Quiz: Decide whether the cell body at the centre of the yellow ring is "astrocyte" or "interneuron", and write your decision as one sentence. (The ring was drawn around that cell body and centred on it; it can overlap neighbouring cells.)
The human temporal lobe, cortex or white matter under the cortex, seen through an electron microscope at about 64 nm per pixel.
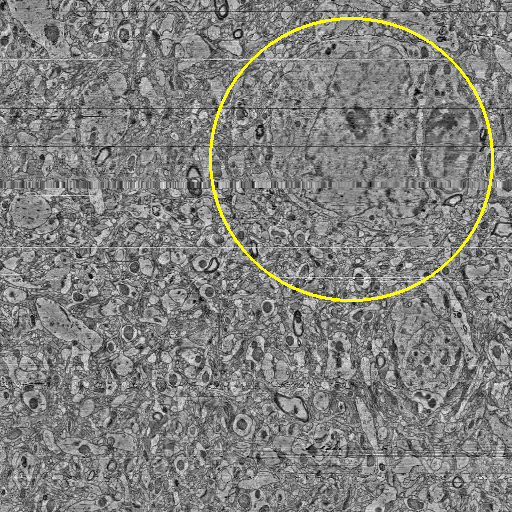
The cell the ring is centred on is an interneuron.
